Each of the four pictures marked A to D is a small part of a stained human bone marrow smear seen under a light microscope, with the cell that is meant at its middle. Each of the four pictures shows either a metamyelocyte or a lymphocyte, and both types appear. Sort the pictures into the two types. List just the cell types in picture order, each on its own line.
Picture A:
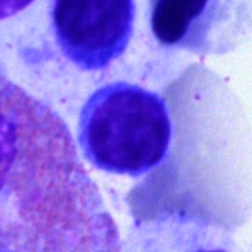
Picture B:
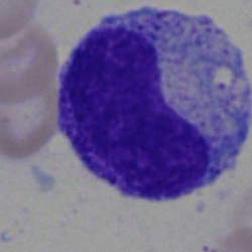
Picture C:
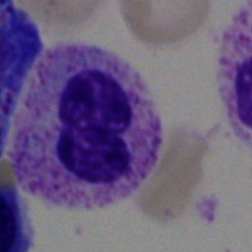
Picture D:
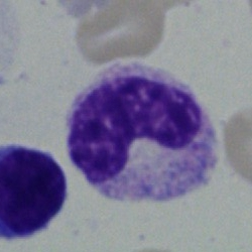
lymphocyte
metamyelocyte
metamyelocyte
metamyelocyte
